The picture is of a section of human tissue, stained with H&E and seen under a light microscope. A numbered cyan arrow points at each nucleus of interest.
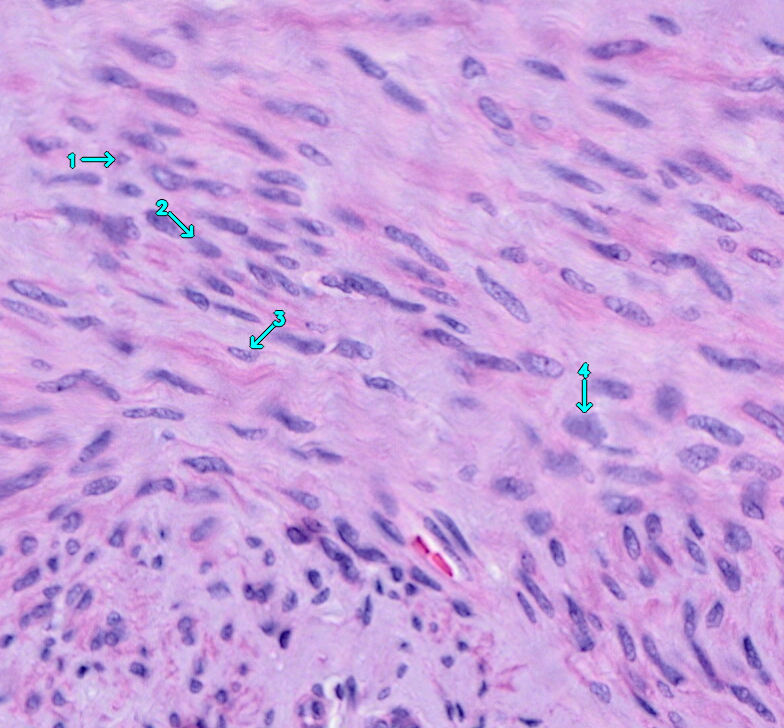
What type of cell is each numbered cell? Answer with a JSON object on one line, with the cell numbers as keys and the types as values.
{"1": "smooth muscle cell", "2": "smooth muscle cell", "3": "smooth muscle cell", "4": "fibroblast"}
